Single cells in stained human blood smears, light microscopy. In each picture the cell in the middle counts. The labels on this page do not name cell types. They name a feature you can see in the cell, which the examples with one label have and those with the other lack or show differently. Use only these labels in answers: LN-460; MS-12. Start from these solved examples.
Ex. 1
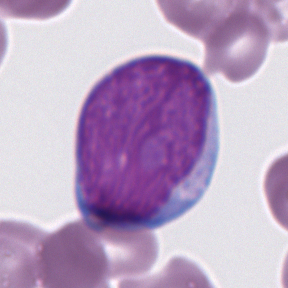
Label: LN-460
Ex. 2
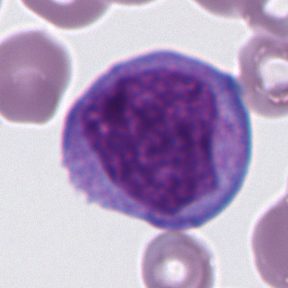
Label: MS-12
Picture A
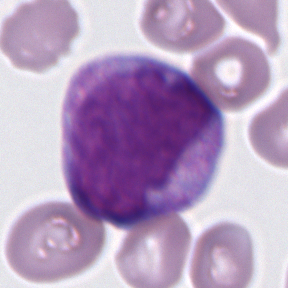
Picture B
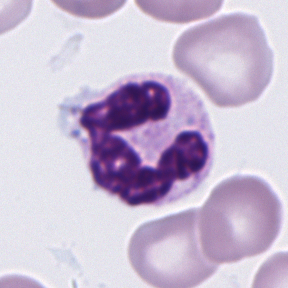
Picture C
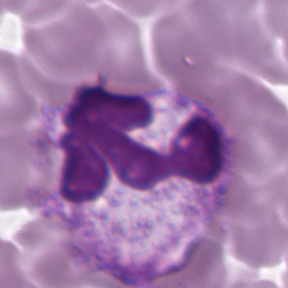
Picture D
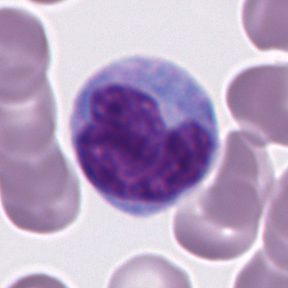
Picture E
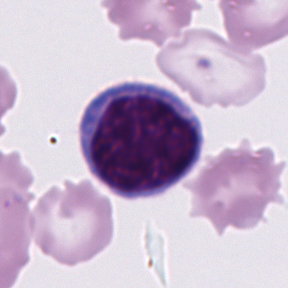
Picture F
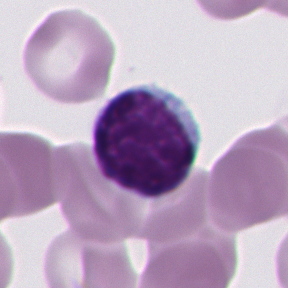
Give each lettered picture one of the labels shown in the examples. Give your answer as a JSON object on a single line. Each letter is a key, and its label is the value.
{"A": "LN-460", "B": "MS-12", "C": "MS-12", "D": "LN-460", "E": "LN-460", "F": "LN-460"}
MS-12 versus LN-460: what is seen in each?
MS-12, ragged outline or projections; LN-460, smooth outline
